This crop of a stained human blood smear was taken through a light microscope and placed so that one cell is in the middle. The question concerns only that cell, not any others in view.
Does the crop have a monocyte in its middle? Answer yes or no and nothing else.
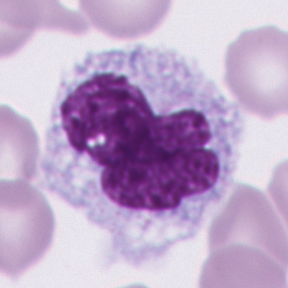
yes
